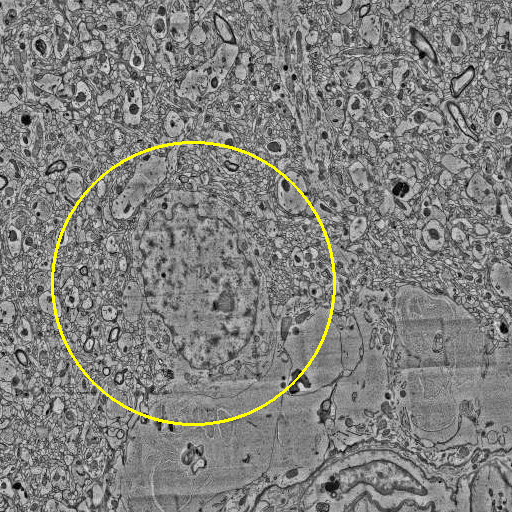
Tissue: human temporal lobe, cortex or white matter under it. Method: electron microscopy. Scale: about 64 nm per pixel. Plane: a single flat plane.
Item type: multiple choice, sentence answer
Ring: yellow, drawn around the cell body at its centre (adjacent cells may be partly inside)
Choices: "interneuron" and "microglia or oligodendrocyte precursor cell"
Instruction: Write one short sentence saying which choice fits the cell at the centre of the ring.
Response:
This ring is drawn around an interneuron.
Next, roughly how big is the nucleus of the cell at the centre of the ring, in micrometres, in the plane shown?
About 11 by 7 micrometers for the nucleus, in this plane.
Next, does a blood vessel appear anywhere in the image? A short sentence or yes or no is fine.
Yes, there is a blood vessel.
